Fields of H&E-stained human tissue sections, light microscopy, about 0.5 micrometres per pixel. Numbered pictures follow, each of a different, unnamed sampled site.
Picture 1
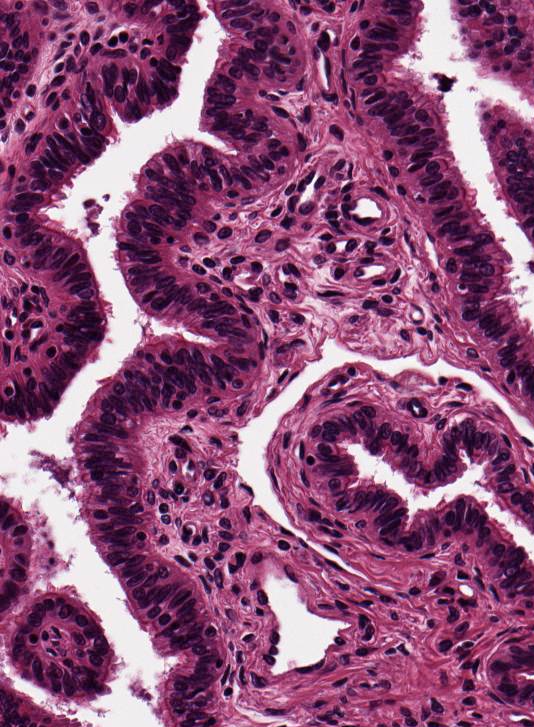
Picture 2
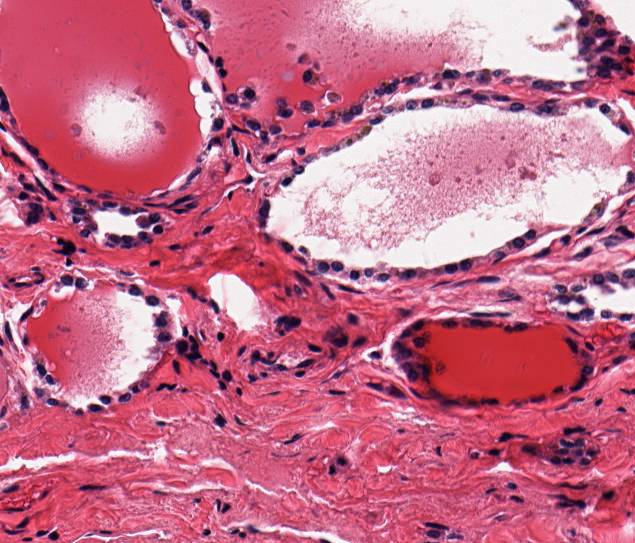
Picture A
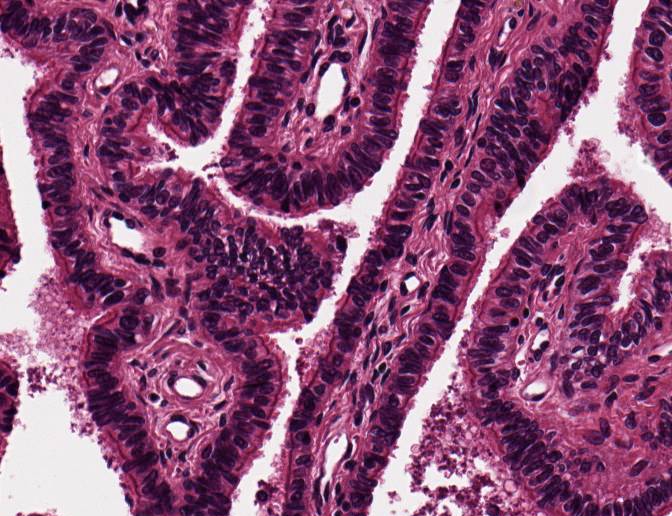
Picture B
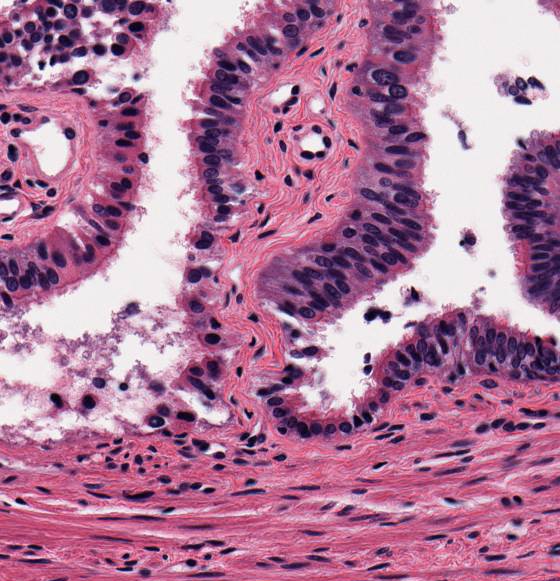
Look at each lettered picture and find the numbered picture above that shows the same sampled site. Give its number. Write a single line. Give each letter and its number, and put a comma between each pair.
A 1, B 1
